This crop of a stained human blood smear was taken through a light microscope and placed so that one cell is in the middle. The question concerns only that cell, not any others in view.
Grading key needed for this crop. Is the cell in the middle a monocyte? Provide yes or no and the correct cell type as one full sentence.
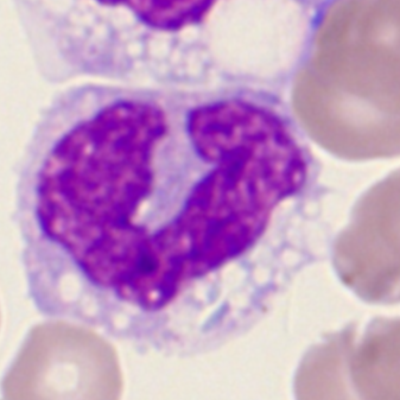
Yes, the cell in the middle of the view is a monocyte.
